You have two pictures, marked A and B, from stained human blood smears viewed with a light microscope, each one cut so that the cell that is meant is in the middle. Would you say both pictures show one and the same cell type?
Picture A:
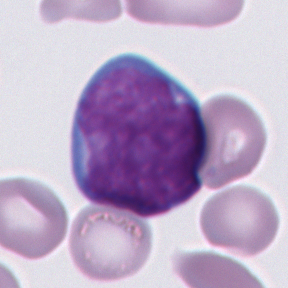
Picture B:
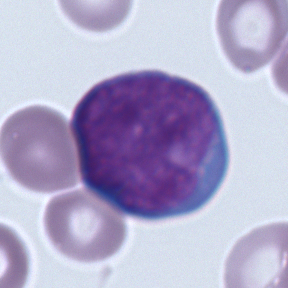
yes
